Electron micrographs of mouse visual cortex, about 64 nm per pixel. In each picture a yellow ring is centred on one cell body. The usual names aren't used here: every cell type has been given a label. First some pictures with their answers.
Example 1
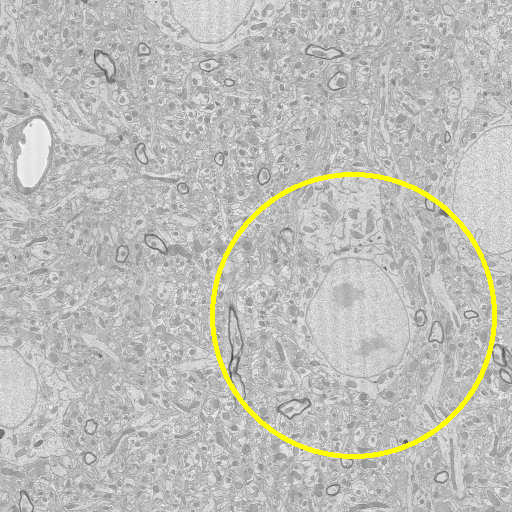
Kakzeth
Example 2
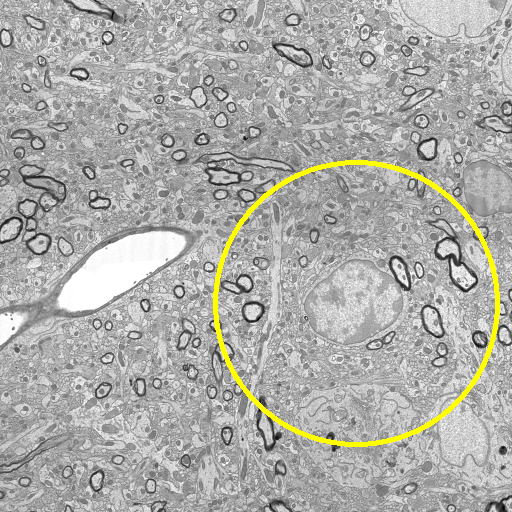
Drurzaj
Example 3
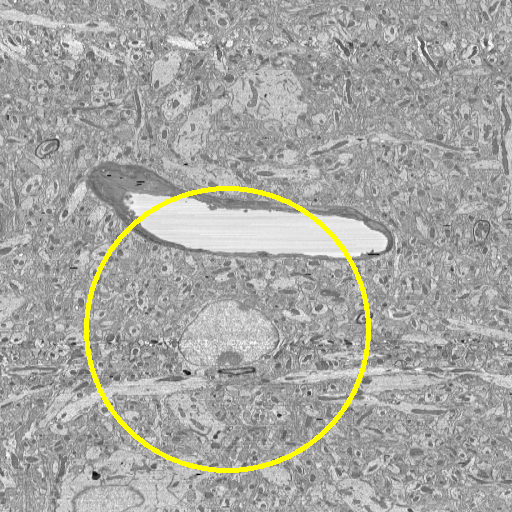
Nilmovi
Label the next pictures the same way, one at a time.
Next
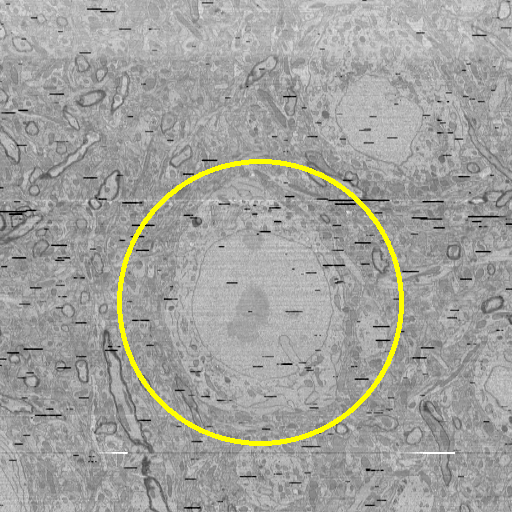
Kakzeth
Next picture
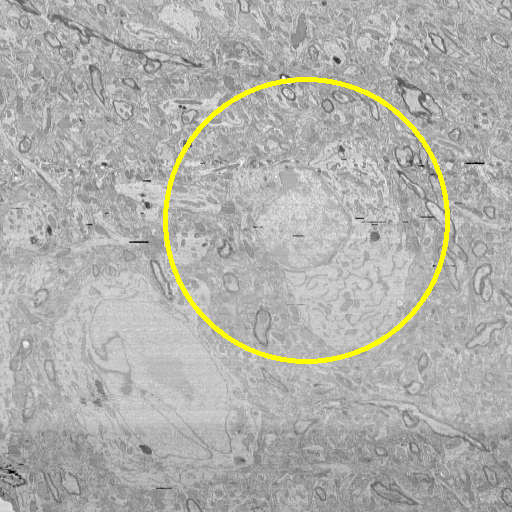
Drurzaj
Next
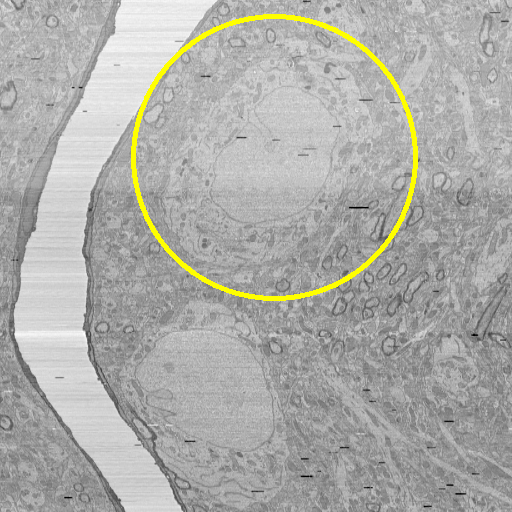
Kakzeth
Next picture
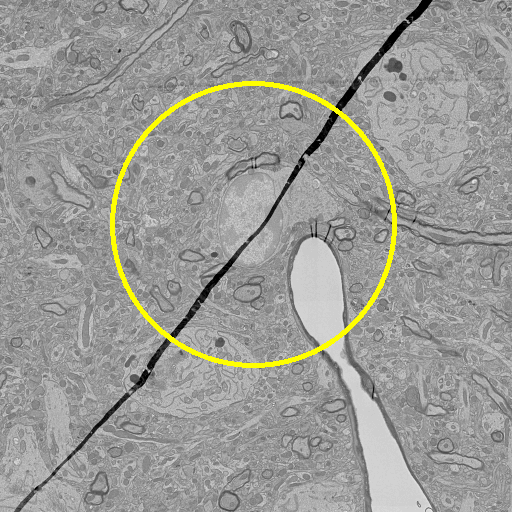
Drurzaj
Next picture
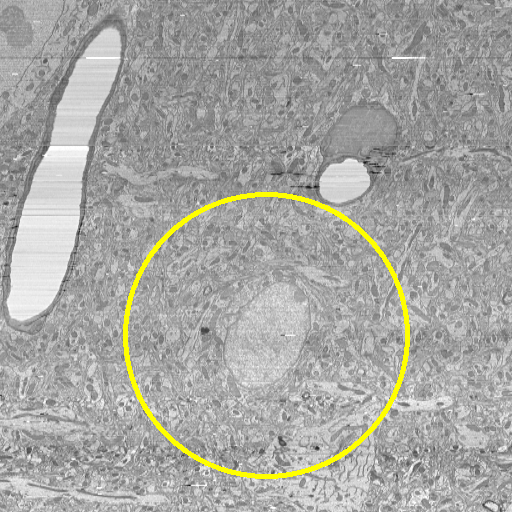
Nilmovi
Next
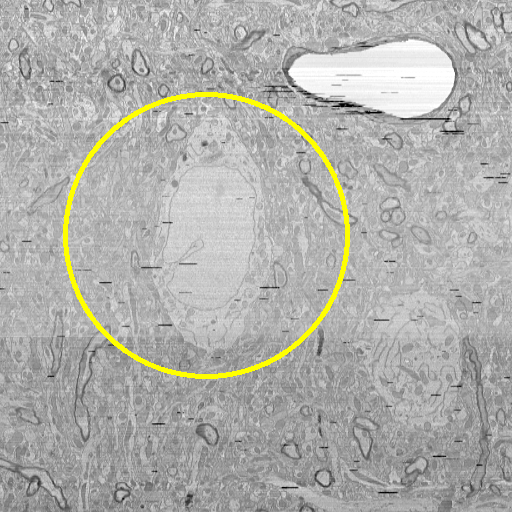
Kakzeth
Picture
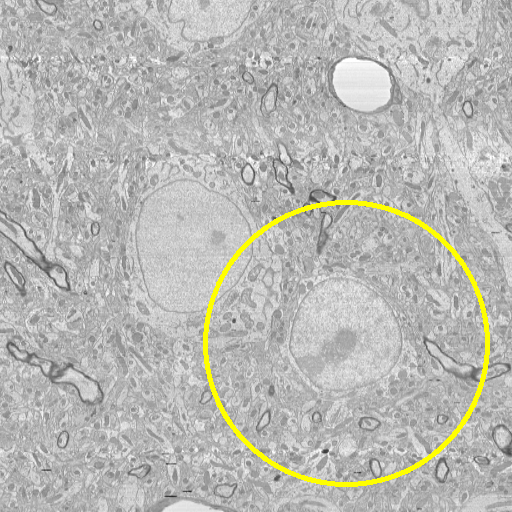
Nilmovi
